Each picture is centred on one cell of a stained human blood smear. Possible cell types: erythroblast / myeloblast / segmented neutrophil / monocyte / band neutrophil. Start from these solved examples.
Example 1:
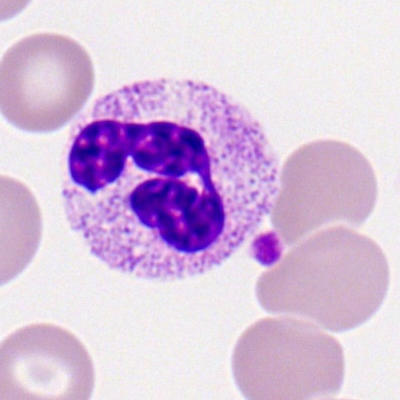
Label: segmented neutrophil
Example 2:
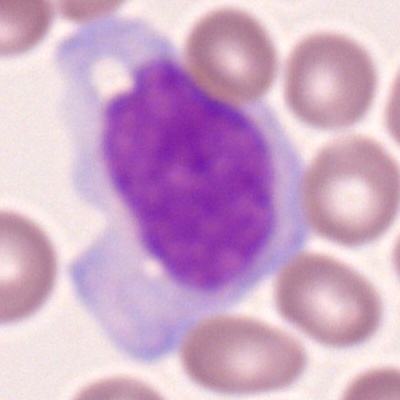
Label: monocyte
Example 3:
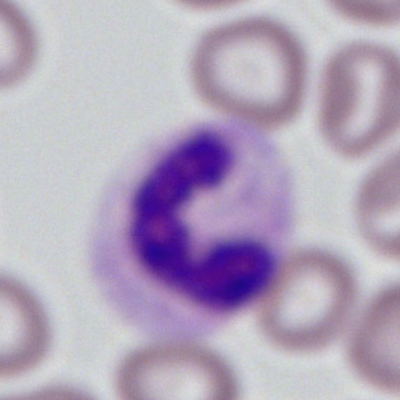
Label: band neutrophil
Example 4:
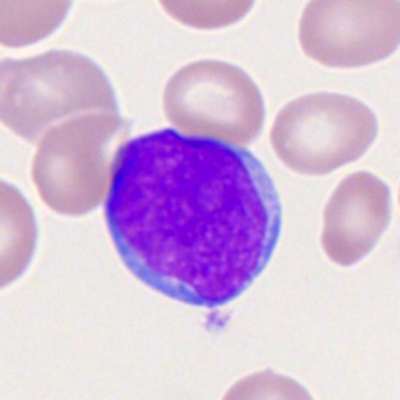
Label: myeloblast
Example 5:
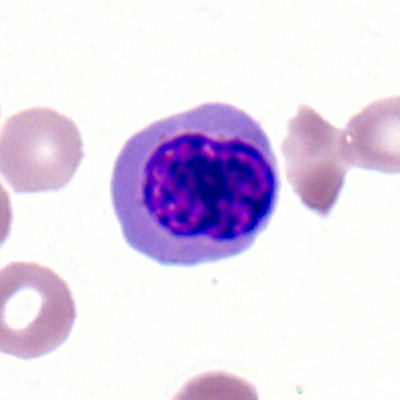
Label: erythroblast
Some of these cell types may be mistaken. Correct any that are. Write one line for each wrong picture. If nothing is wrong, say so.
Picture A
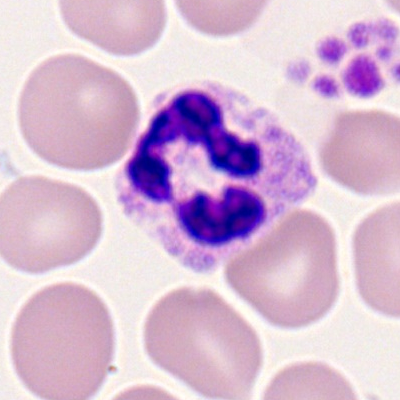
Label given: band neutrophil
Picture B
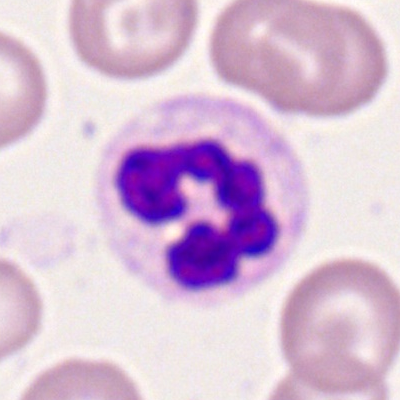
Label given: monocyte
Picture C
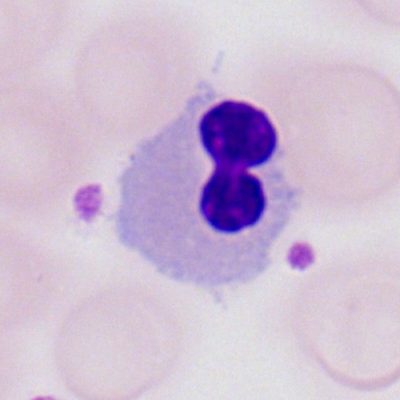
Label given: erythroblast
A: not band neutrophil but segmented neutrophil
B: not monocyte but segmented neutrophil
